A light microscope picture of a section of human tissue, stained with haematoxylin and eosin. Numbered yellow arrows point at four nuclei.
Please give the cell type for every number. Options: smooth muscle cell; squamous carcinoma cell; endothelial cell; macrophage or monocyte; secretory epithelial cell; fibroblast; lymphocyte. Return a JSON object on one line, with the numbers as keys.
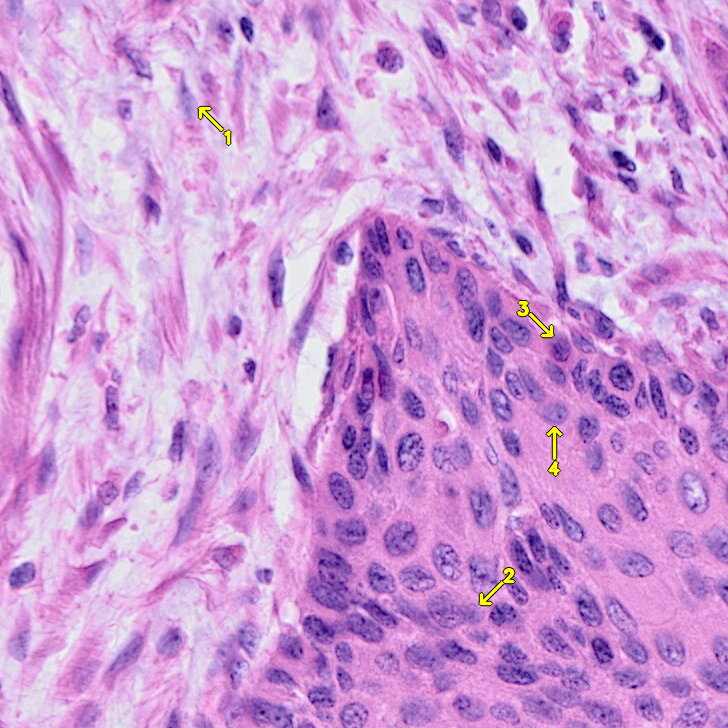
{"1": "fibroblast", "2": "squamous carcinoma cell", "3": "squamous carcinoma cell", "4": "squamous carcinoma cell"}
